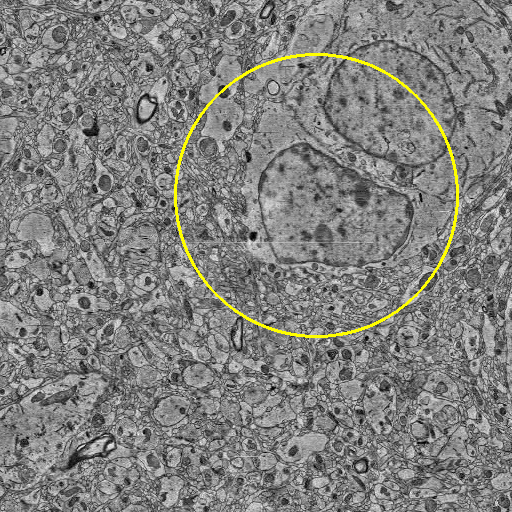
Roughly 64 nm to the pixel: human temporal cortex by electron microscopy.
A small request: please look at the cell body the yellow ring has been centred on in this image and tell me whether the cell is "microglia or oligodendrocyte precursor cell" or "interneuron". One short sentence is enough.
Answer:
The cell marked by the ring is a microglial cell or oligodendrocyte precursor cell.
